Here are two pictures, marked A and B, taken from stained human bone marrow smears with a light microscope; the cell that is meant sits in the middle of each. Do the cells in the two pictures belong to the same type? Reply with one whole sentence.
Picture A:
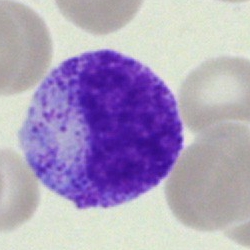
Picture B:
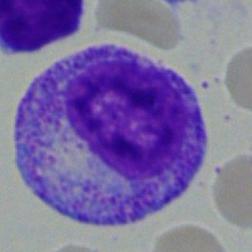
Yes, the two pictures both show myelocytes.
